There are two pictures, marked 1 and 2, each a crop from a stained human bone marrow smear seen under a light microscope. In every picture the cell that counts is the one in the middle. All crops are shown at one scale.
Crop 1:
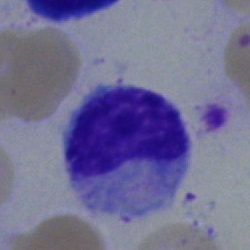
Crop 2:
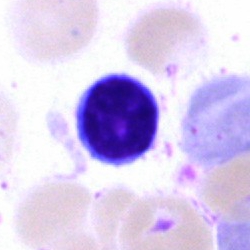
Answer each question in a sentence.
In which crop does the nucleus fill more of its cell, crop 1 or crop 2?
In crop 2 the nucleus takes up the larger part of its cell.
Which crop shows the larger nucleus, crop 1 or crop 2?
It is the nucleus in crop 1, about 1.5 times as large in area as the one in crop 2.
